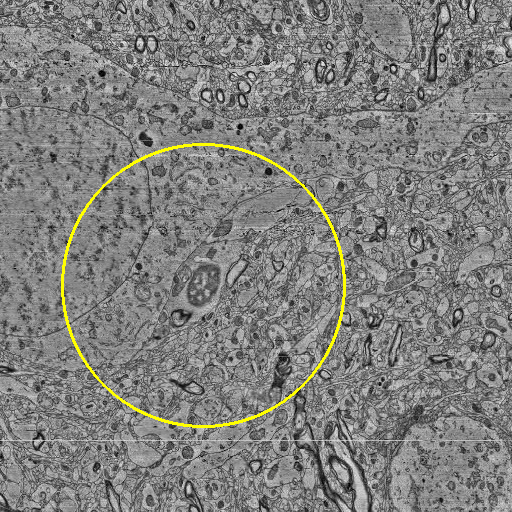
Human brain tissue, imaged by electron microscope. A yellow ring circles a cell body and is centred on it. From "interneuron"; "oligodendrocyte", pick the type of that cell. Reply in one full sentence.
The cell body at the centre of the yellow ring belongs to an oligodendrocyte.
